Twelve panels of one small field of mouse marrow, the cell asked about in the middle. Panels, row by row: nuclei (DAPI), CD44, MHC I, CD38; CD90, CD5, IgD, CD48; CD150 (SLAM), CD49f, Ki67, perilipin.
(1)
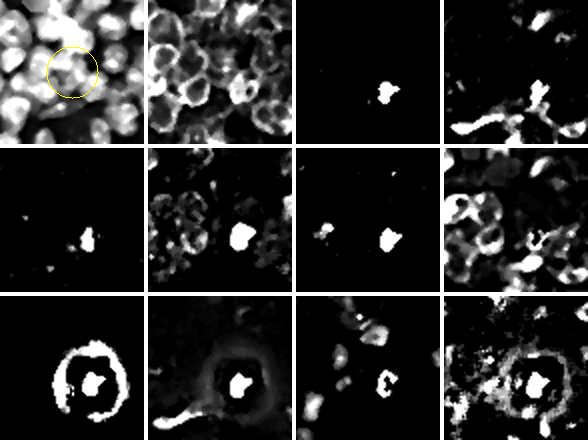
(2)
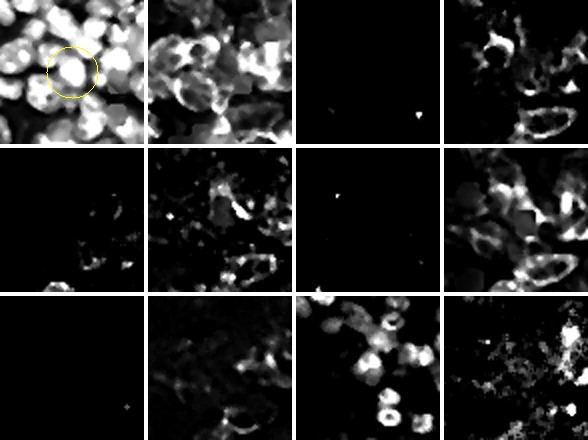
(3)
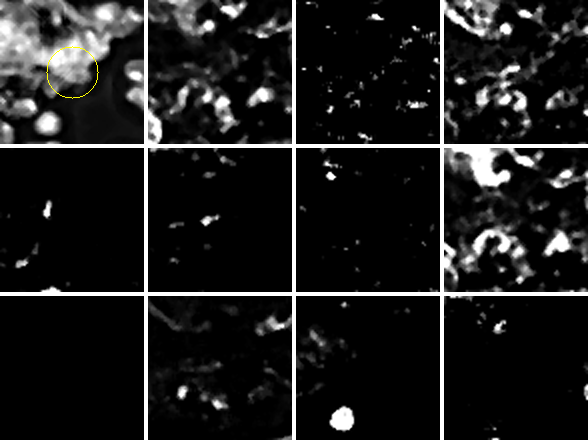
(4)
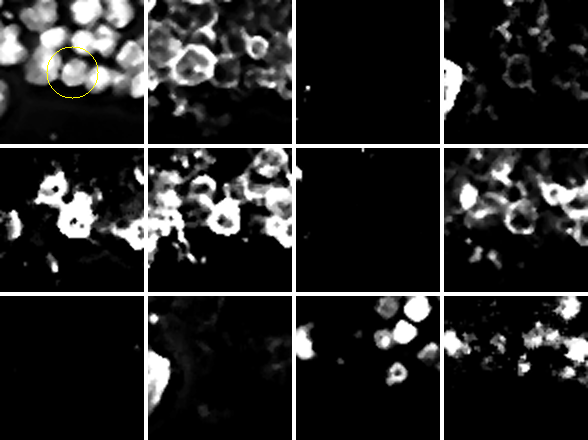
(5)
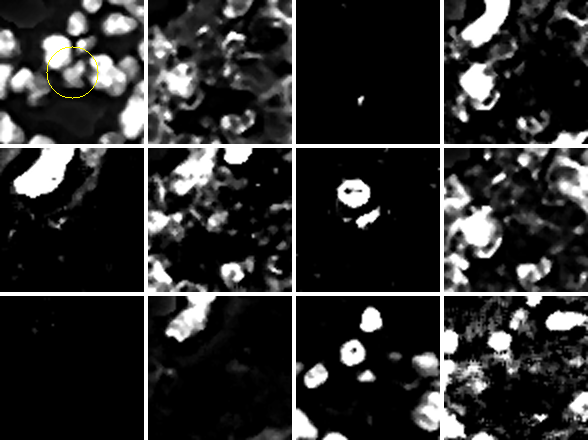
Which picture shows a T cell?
Picture 4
